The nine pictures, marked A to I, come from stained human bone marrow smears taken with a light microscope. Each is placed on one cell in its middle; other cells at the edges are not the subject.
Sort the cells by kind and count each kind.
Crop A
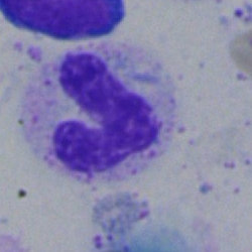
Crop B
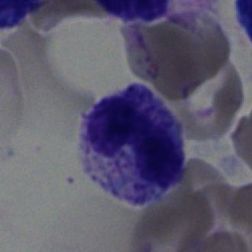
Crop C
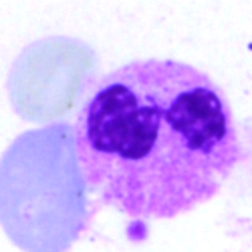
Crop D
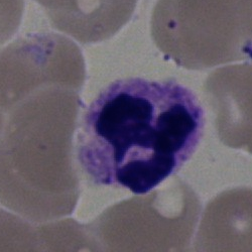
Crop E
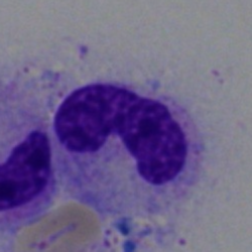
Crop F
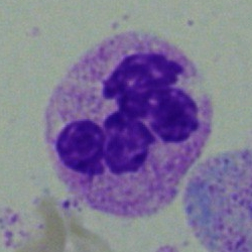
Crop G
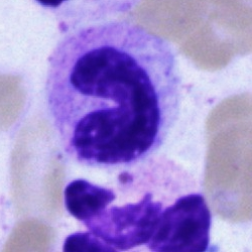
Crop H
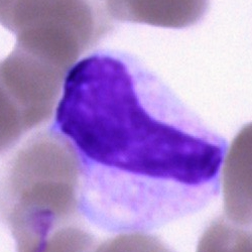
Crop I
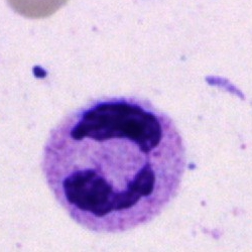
band neutrophil: 5
segmented neutrophil: 4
